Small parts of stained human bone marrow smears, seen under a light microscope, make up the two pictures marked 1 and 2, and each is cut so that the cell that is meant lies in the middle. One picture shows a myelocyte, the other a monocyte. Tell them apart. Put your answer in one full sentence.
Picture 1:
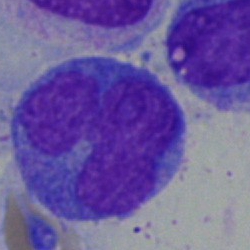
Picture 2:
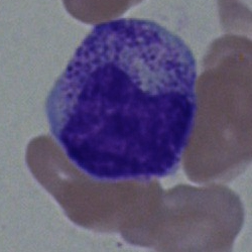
The cell in picture 1 is a monocyte, and the one in picture 2 is a myelocyte.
